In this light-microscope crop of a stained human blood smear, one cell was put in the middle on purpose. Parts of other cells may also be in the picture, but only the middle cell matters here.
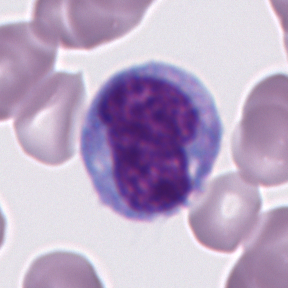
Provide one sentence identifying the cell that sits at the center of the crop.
The cell at the centre of the field is a monocyte.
